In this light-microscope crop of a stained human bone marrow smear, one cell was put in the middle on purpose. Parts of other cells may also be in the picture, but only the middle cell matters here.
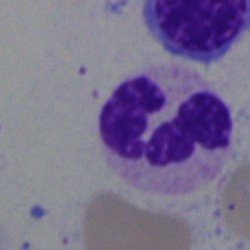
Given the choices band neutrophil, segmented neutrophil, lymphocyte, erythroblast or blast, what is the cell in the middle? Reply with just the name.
segmented neutrophil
